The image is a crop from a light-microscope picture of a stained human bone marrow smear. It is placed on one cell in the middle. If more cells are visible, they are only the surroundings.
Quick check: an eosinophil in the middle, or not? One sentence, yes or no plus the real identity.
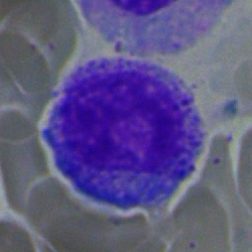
No, an eosinophil is not what the central cell is; it is a myelocyte.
